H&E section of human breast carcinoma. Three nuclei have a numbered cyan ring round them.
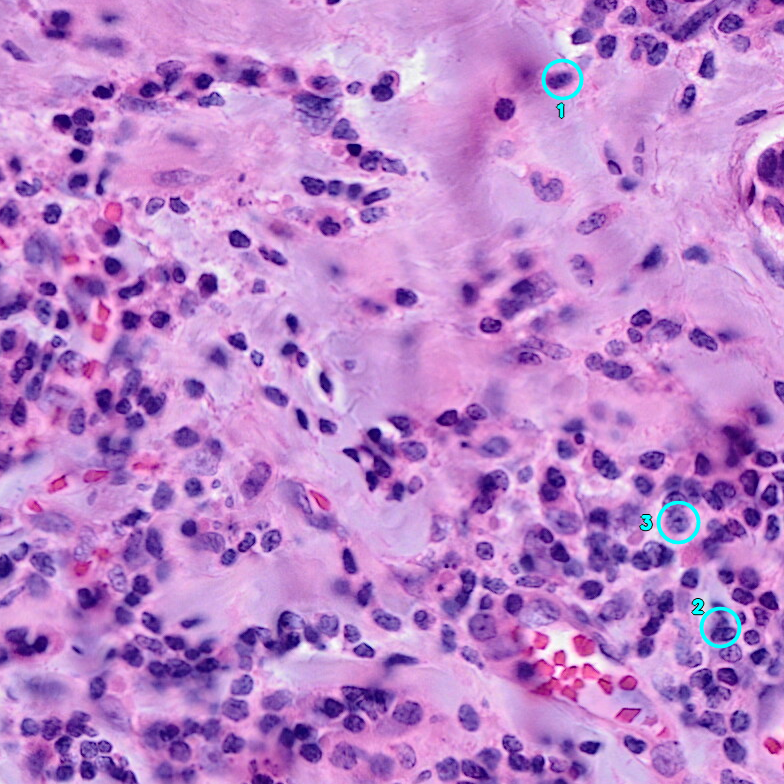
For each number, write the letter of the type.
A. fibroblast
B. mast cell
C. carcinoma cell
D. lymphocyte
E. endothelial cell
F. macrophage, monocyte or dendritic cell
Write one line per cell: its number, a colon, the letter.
1: B
2: D
3: B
